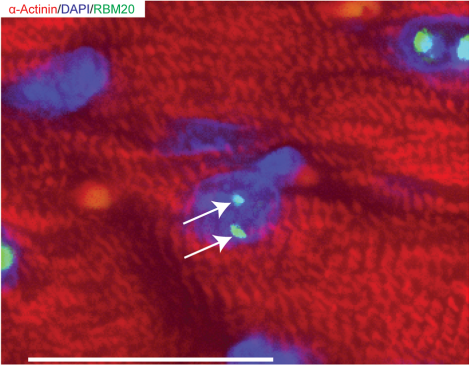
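Heart muscle fibres with fine red cross-striations fill the field. An oval blue nucleus in the centre contains two bright green foci inside it; another nucleus at the upper right also carries green foci. The cytoplasm around these nuclei shows no green dots. Further blue nuclei lie along the fibres, and a small orange-yellow spot sits in the upper field.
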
